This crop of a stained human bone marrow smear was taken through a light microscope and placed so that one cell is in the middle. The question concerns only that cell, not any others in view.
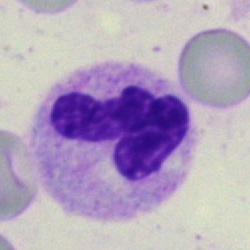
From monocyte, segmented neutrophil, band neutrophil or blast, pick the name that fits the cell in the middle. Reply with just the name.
segmented neutrophil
